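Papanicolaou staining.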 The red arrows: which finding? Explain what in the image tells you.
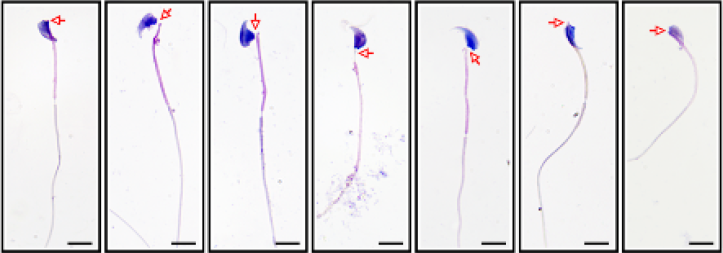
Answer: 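Defective head-tail connection. Heads sit bent or displaced at the top of the tail.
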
